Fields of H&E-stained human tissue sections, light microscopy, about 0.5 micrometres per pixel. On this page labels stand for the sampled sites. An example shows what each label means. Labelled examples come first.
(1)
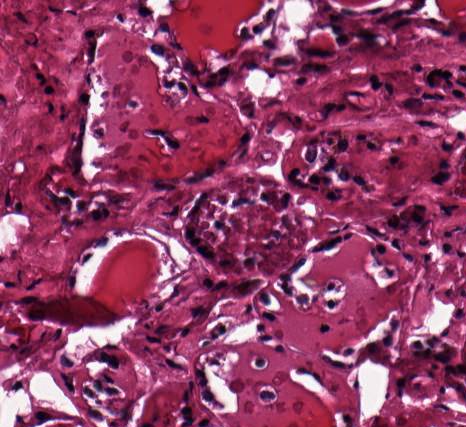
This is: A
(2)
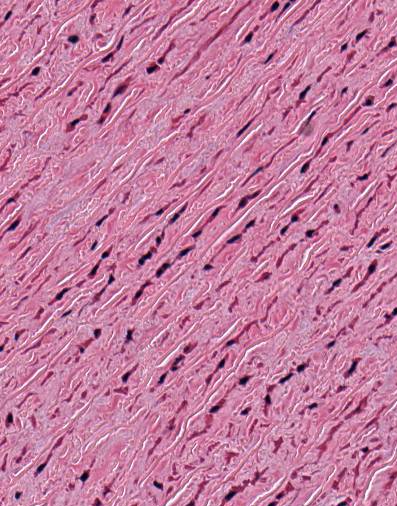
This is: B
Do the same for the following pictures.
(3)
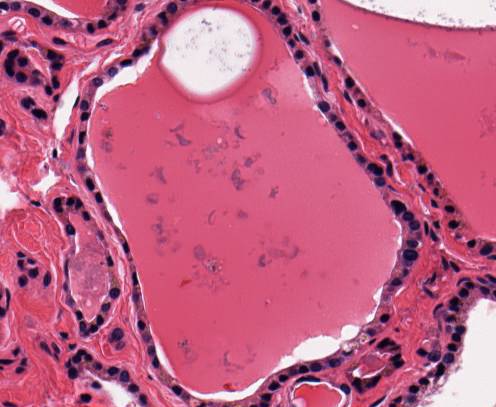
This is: A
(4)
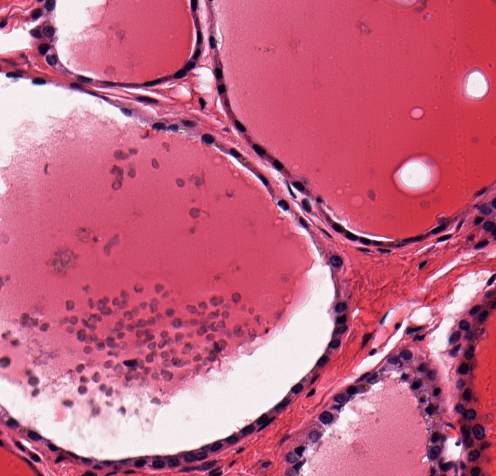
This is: A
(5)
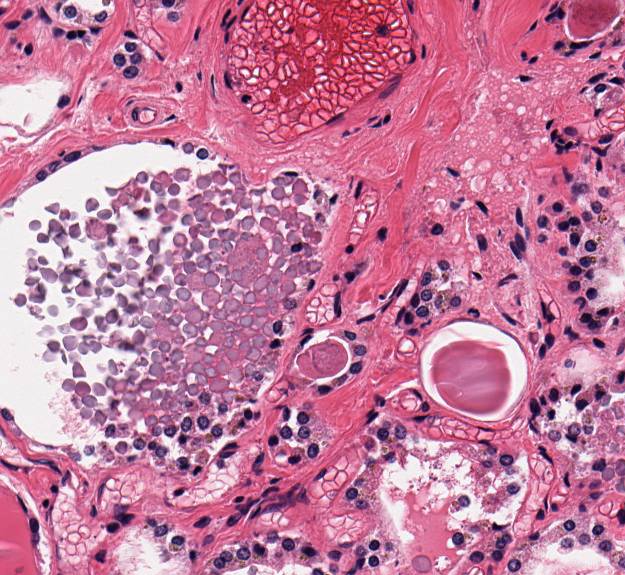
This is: A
